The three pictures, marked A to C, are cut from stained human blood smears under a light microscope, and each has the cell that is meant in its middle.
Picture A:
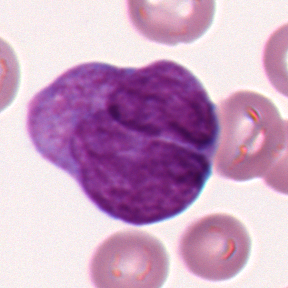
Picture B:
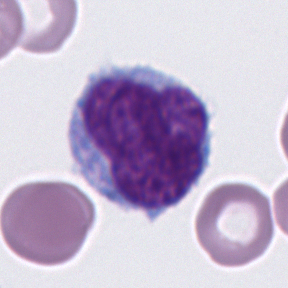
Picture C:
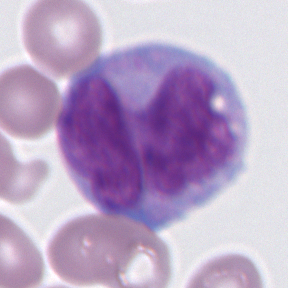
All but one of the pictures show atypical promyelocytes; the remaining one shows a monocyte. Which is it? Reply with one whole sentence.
Picture B is the one that shows the monocyte.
